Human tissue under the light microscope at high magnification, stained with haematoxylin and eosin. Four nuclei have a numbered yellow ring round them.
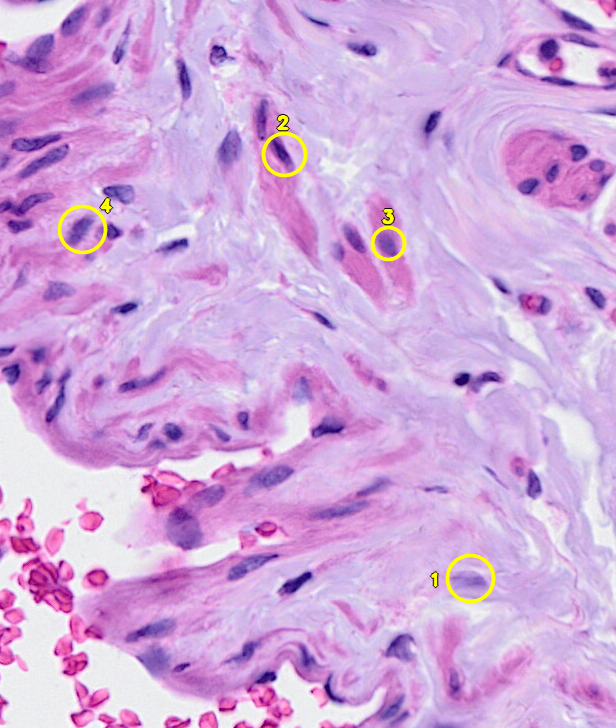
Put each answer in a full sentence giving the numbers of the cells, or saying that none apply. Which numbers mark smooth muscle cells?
The cells that the numbers 2, 3 and 4 belong to are smooth muscle cells.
